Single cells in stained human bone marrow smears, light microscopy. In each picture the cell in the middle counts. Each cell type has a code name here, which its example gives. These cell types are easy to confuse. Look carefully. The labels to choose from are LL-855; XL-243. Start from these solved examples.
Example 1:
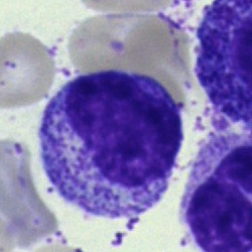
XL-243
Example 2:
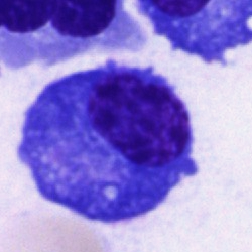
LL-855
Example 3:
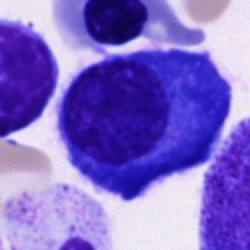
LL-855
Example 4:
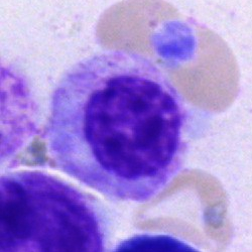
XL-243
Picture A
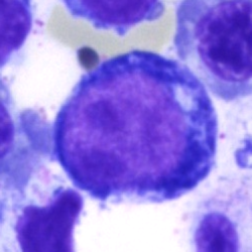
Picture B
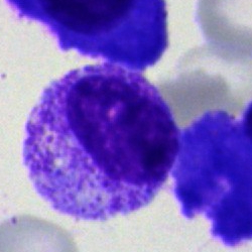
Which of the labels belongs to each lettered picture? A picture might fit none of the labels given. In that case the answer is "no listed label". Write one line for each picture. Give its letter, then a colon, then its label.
A: no listed label
B: XL-243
